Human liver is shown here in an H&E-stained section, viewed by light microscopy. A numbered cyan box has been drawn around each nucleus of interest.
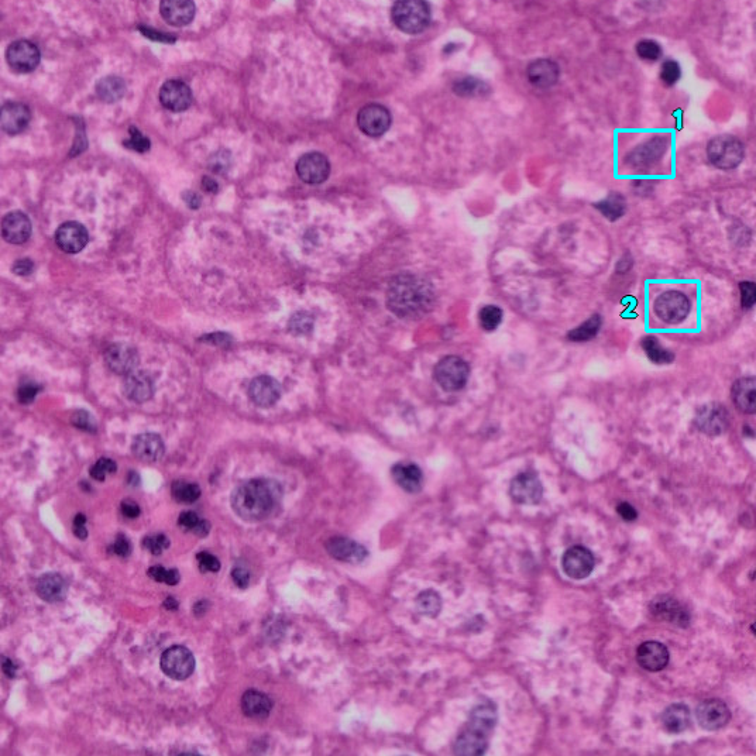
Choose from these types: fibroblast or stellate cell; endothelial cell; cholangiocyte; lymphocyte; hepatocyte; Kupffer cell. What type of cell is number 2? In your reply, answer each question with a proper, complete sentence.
That cell with number 2 is a hepatocyte.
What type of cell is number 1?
The nucleus with number 1 is that of a Kupffer cell.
